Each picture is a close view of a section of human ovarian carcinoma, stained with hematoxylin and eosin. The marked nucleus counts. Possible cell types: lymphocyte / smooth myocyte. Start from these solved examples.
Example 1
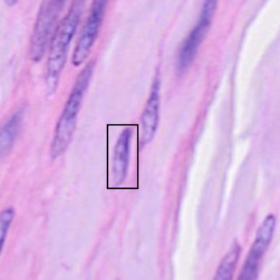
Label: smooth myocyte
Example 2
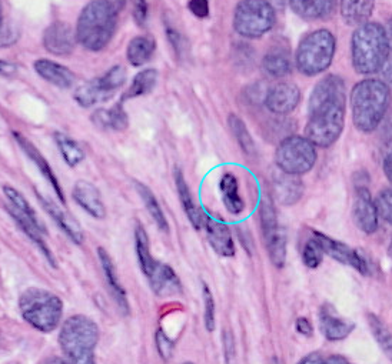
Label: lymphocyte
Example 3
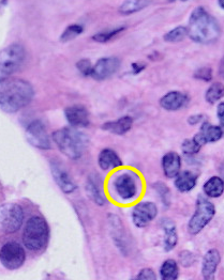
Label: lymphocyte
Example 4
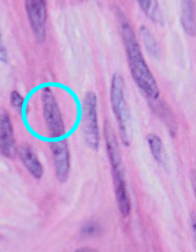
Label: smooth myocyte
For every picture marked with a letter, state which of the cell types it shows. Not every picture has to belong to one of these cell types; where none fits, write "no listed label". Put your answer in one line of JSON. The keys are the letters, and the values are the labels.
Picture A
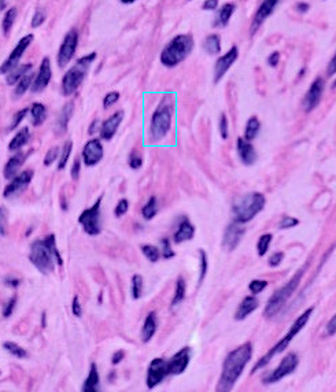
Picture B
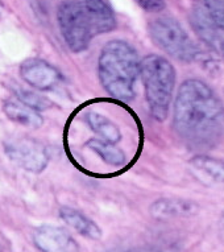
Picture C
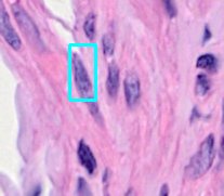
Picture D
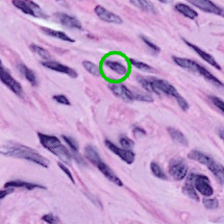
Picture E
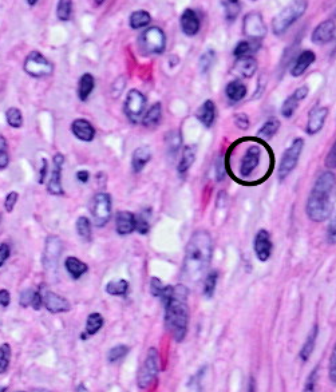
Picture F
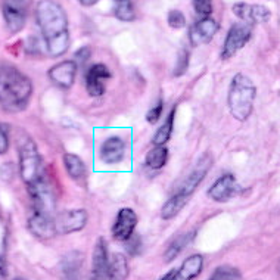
{"A": "smooth myocyte", "B": "no listed label", "C": "smooth myocyte", "D": "smooth myocyte", "E": "lymphocyte", "F": "lymphocyte"}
